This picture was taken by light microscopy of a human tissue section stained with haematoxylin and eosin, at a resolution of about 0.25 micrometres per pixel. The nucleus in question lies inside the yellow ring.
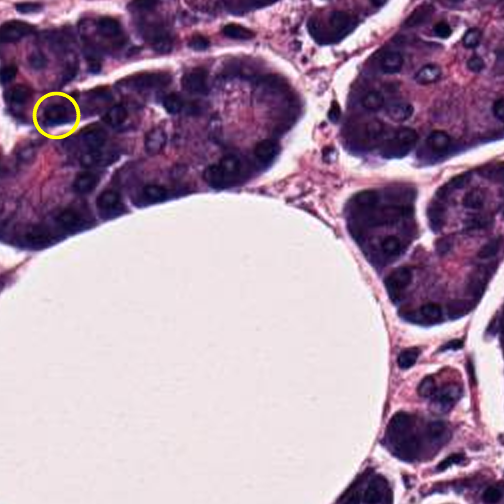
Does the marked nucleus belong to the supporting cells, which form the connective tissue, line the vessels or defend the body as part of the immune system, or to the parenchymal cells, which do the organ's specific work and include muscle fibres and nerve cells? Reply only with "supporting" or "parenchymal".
parenchymal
